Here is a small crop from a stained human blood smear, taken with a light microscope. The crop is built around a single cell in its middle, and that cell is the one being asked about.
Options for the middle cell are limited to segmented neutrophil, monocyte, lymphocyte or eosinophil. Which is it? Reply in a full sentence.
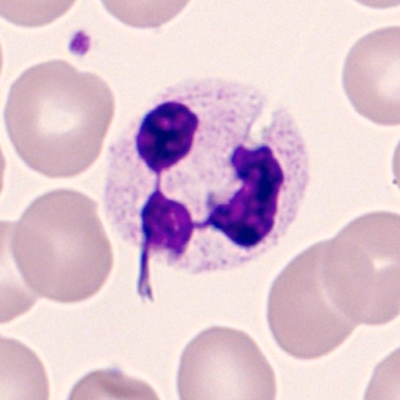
At the crop's centre, the cell is a segmented neutrophil.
